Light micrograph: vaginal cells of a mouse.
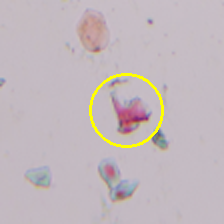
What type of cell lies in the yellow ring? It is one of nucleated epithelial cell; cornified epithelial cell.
The ringed cell is a cornified epithelial cell.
